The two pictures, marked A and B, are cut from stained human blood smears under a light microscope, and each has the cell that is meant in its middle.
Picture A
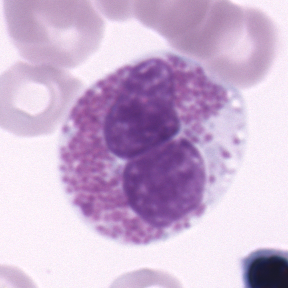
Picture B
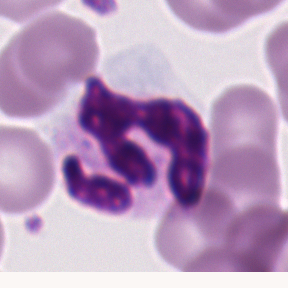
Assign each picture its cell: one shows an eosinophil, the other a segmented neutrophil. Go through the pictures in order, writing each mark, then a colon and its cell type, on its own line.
A: eosinophil
B: segmented neutrophil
